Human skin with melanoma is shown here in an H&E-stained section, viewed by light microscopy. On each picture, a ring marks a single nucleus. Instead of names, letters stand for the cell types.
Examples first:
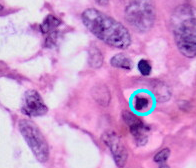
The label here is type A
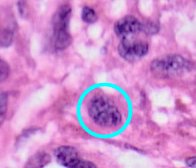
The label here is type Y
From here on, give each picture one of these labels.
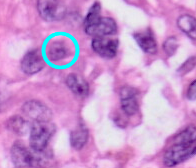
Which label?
type Y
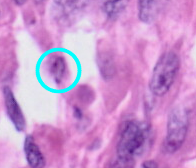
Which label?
type Y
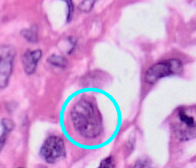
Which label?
type Y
